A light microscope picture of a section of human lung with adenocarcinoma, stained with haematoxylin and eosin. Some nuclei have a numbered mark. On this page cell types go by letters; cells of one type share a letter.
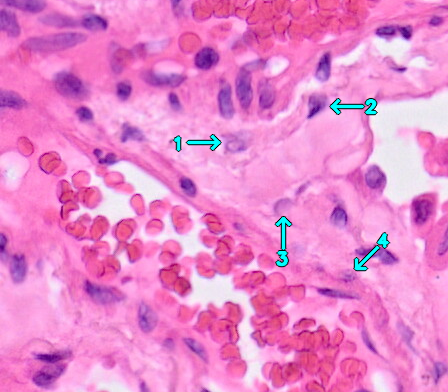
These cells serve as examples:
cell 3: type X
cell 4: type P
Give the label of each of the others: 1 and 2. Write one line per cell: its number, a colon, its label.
1: type X
2: type X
